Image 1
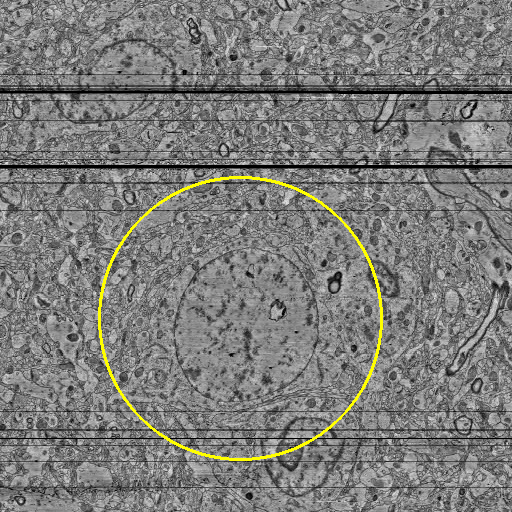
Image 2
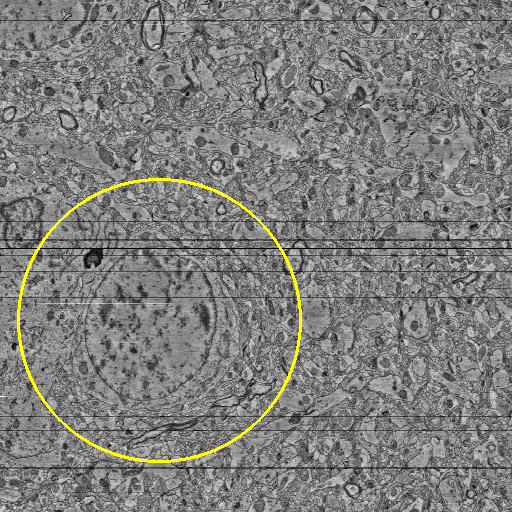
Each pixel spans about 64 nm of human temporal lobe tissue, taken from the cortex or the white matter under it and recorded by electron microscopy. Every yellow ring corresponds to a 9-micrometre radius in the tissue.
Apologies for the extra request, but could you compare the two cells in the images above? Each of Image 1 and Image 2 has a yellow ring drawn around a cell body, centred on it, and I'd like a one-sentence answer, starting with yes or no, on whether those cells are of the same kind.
Yes, both cells are of the same kind.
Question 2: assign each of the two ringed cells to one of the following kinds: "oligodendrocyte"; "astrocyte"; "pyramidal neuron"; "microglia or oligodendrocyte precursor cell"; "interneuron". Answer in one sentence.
In the first picture and in the second, the ring is centred on a pyramidal neuron.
